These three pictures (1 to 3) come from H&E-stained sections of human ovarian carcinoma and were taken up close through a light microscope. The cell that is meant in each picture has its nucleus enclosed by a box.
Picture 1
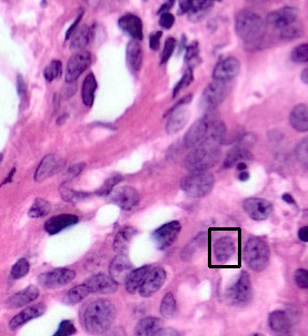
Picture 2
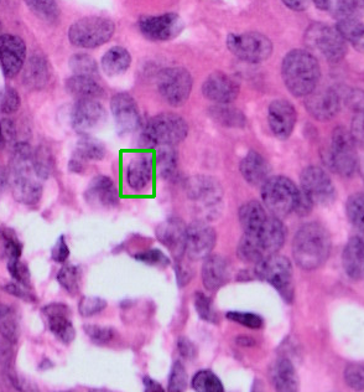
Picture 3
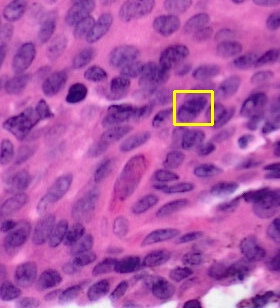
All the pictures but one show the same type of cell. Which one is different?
2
